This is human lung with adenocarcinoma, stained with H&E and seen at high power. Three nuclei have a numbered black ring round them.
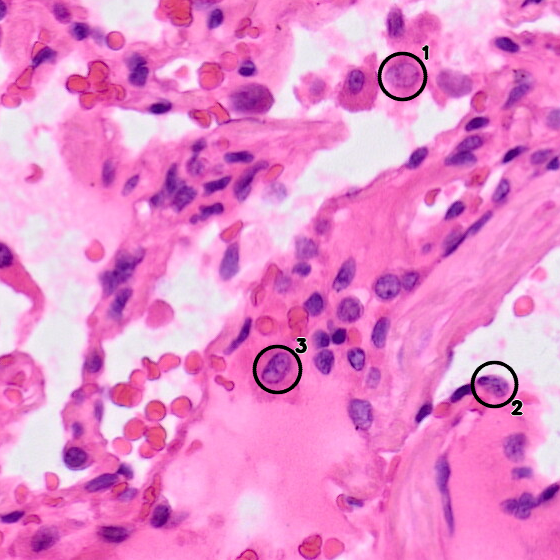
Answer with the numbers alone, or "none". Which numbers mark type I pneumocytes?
2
